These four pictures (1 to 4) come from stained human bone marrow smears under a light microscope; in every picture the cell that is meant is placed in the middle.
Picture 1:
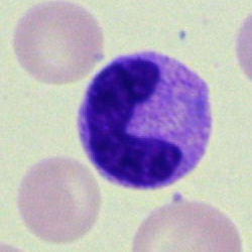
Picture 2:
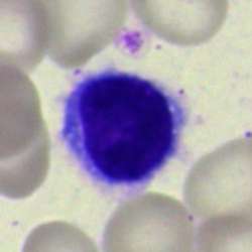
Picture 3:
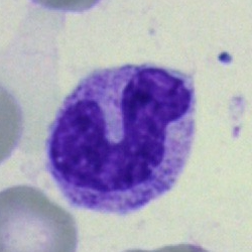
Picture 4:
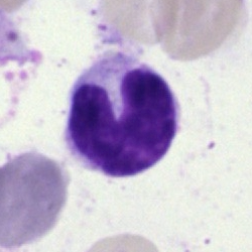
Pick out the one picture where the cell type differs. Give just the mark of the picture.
2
